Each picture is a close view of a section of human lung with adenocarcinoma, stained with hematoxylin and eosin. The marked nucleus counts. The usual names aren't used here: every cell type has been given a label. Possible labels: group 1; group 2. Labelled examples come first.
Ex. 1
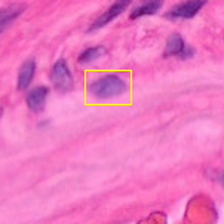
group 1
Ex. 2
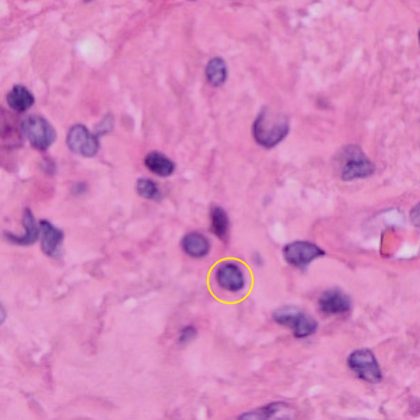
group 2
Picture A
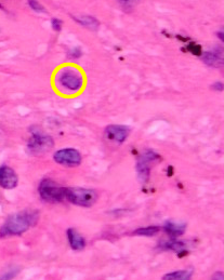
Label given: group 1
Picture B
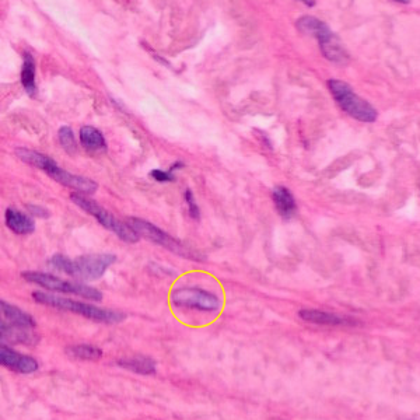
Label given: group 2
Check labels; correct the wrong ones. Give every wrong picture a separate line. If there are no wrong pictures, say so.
A should be group 2, not group 1
B should be group 1, not group 2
